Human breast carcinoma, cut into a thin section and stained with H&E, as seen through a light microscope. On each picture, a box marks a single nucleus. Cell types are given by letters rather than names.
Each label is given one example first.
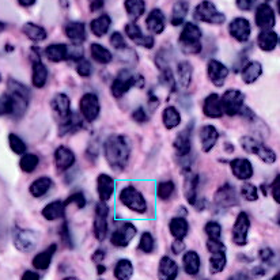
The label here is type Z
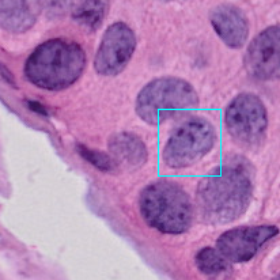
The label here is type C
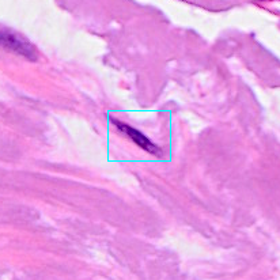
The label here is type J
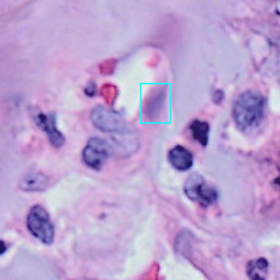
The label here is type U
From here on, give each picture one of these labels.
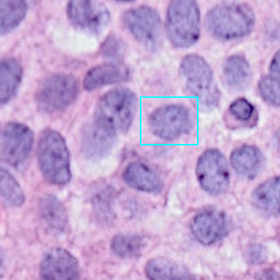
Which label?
type C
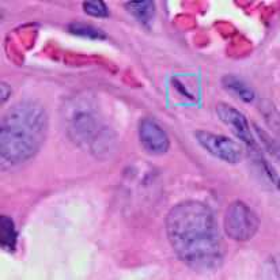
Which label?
type U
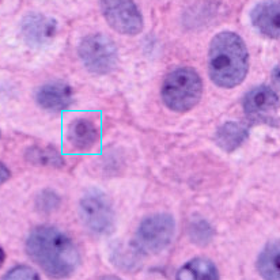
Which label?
type C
